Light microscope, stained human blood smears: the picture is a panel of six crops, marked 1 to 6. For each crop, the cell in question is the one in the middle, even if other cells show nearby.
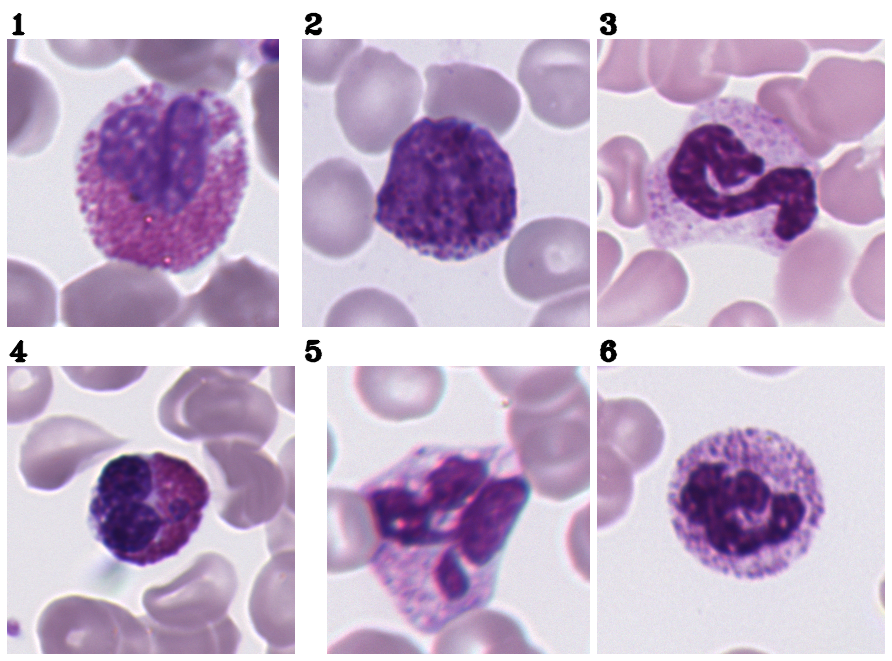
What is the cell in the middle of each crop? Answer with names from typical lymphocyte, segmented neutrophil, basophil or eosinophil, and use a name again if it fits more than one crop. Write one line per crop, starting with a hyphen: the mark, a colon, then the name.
- 1: eosinophil
- 2: basophil
- 3: segmented neutrophil
- 4: eosinophil
- 5: segmented neutrophil
- 6: segmented neutrophil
